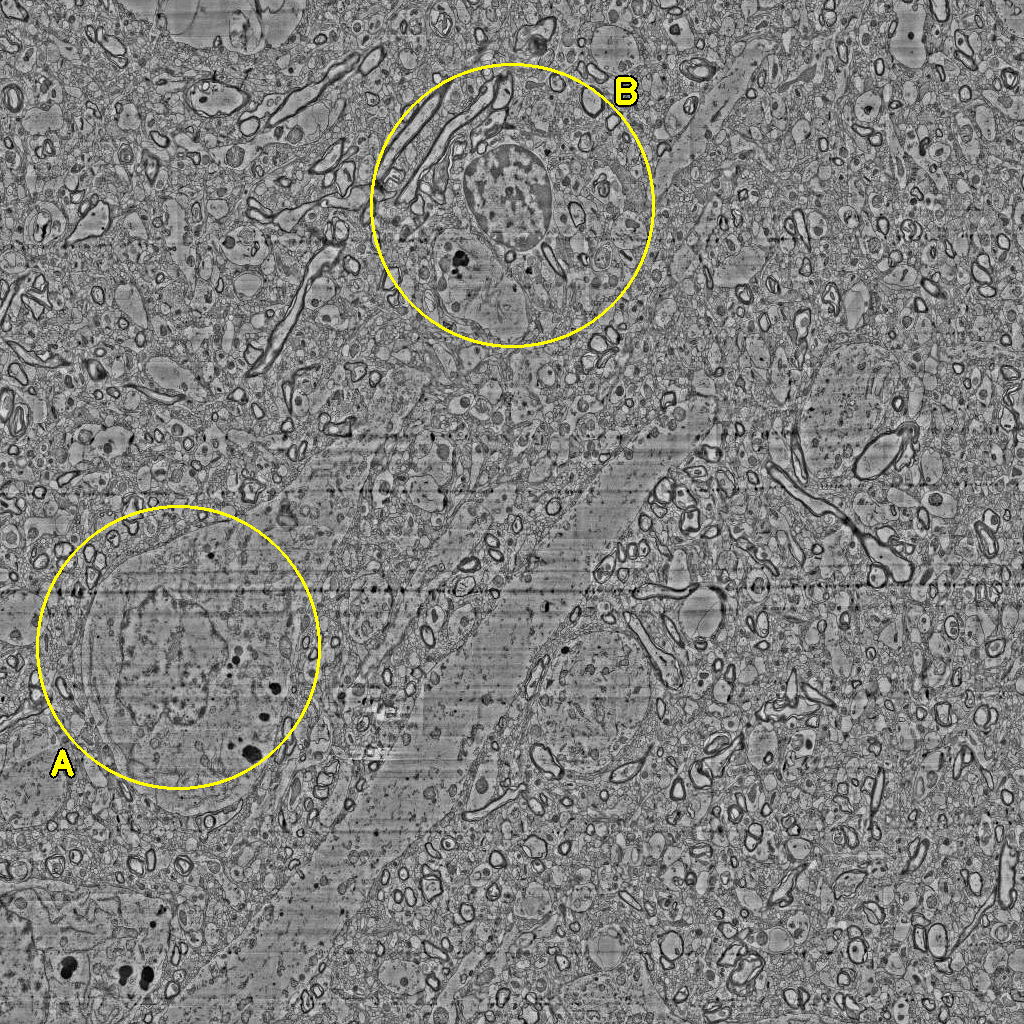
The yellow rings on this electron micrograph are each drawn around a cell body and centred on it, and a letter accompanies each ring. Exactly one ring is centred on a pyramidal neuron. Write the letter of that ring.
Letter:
A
